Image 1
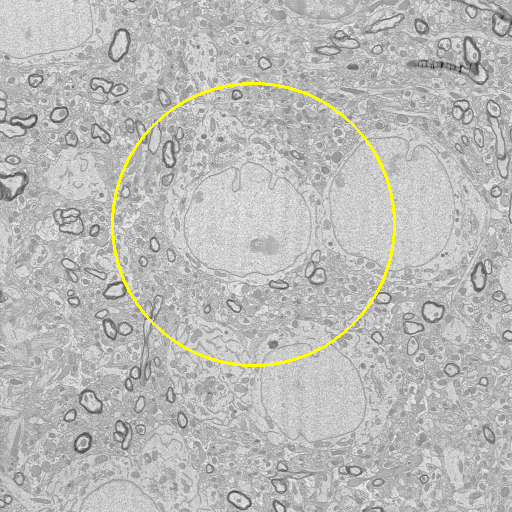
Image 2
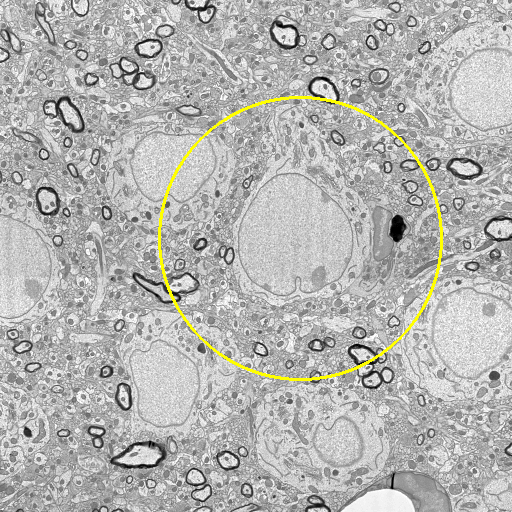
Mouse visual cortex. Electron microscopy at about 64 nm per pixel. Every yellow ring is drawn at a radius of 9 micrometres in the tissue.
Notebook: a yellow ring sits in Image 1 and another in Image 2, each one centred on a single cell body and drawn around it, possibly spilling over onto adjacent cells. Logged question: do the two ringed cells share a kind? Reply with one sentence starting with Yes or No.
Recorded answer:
Yes, both centre cells inside the rings of Image 1 and Image 2 share one kind.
